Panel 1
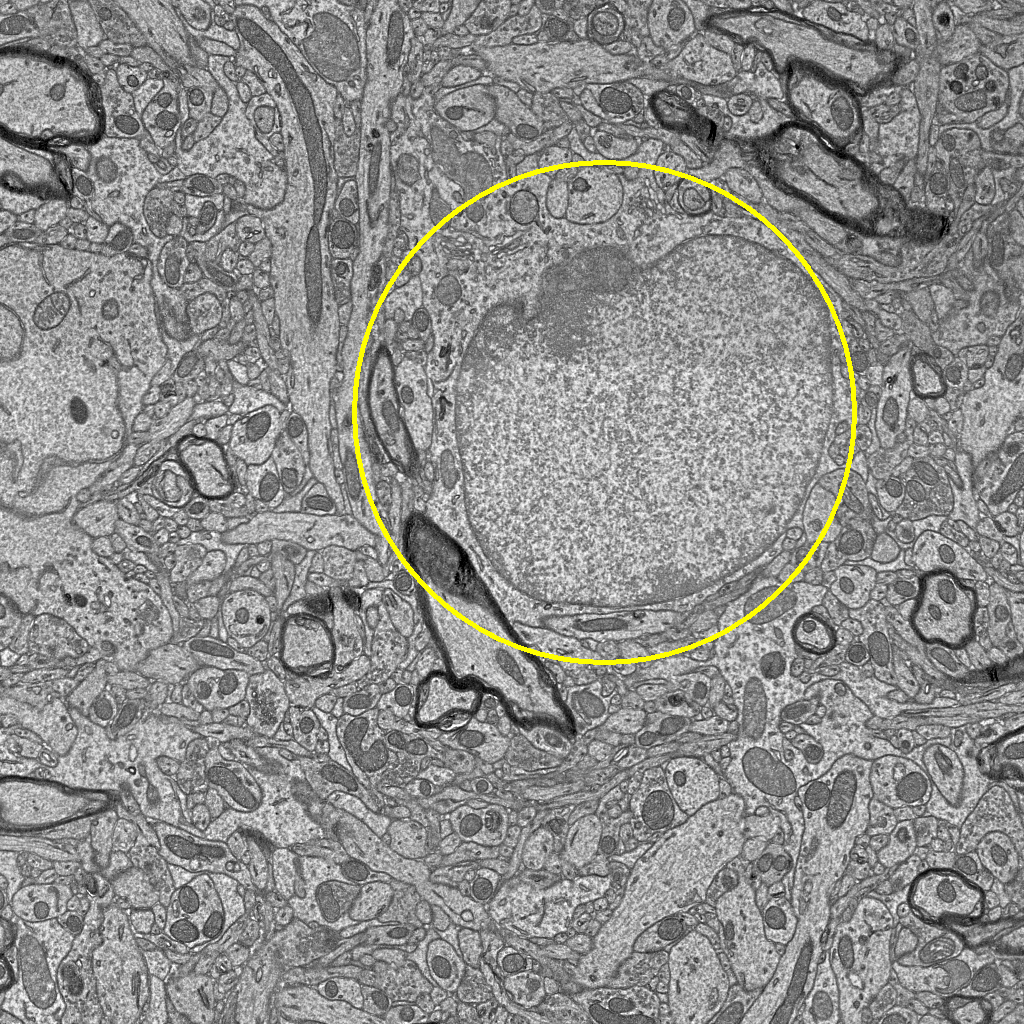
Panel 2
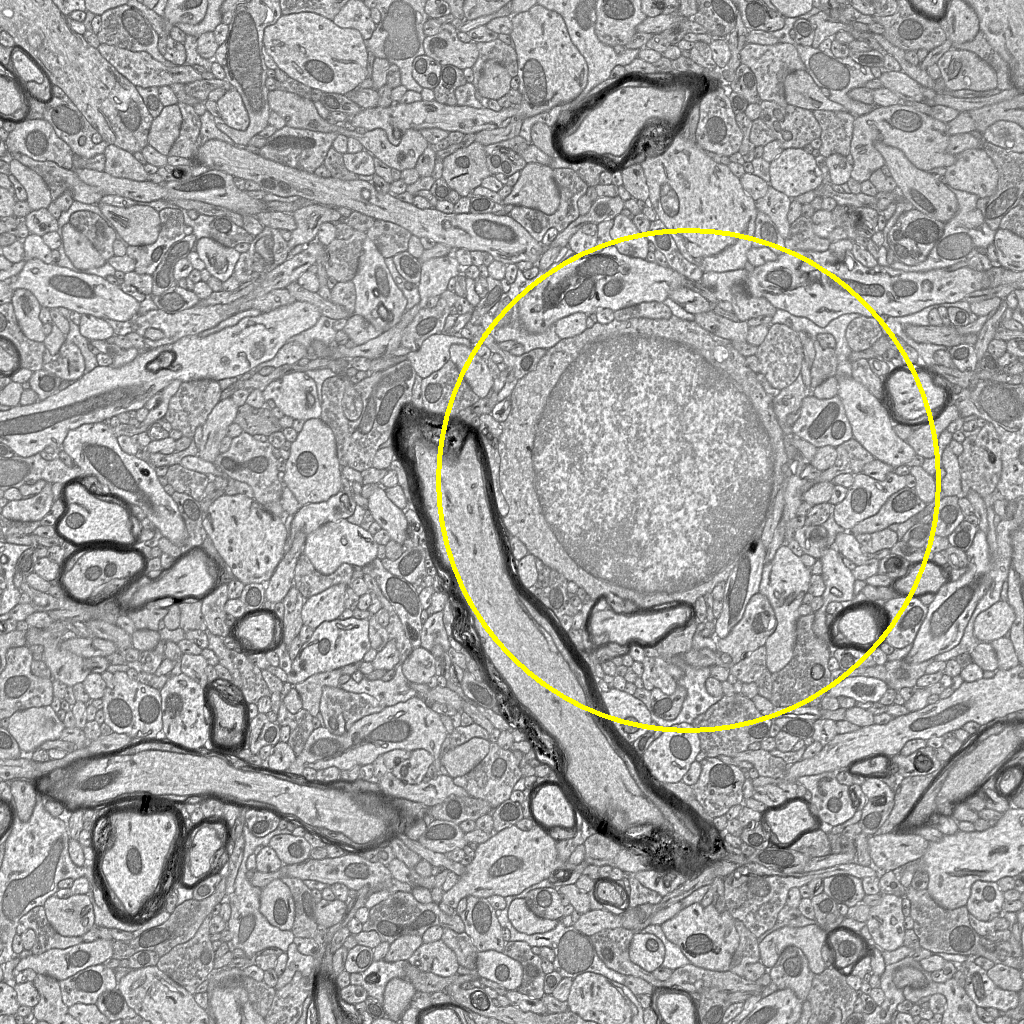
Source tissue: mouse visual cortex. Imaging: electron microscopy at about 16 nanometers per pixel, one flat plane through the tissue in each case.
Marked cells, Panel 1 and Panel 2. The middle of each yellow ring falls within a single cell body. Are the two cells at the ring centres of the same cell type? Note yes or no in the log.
no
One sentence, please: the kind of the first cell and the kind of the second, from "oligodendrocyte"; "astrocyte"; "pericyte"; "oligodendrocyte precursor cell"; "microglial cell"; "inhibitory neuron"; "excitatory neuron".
The cell in the first picture is an astrocyte; the second picture's cell is an oligodendrocyte.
